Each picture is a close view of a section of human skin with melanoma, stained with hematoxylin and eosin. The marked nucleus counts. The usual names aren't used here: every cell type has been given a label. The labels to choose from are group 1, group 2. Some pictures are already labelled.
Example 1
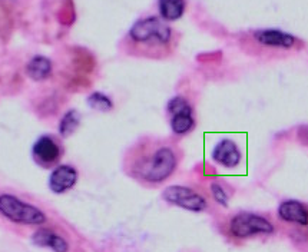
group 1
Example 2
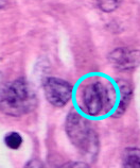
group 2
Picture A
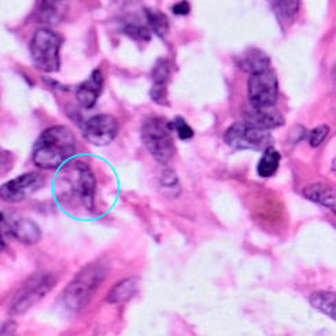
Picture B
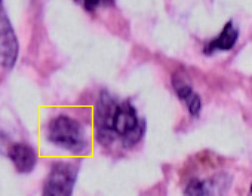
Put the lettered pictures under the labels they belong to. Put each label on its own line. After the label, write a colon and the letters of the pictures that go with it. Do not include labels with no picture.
group 2: A, B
